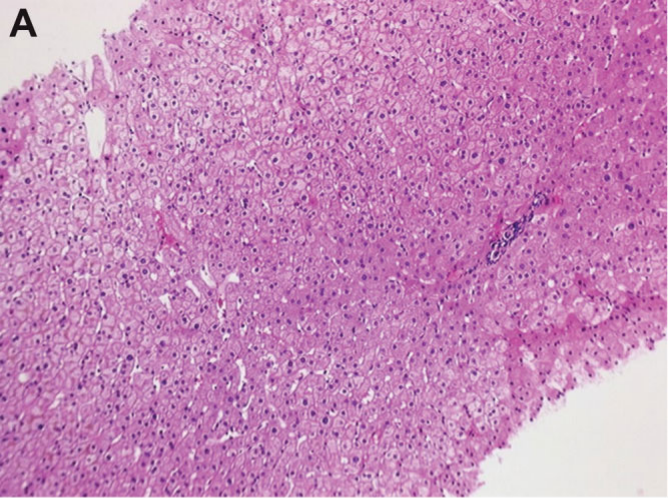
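This is liver, made up of hepatocytes: polygonal cells with pale pink cytoplasm and round central nuclei. A small cluster of dark-staining cells sits in a pink connective tissue area toward the right, and a small vessel lies near the upper left.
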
